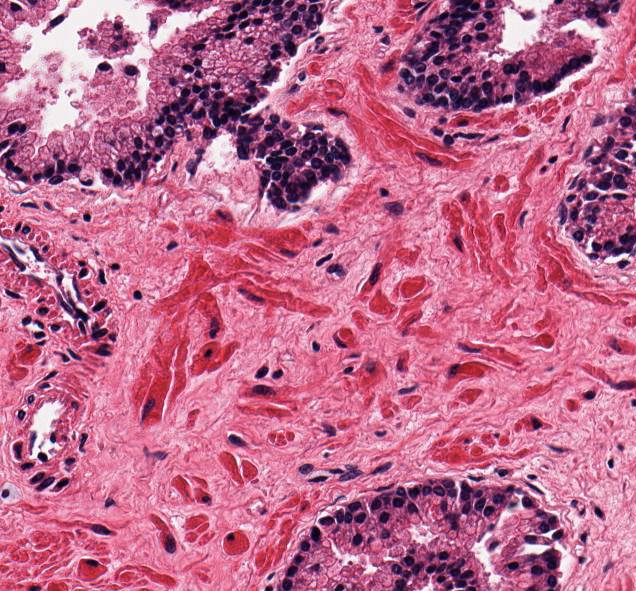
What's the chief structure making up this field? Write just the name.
fibromuscular stroma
